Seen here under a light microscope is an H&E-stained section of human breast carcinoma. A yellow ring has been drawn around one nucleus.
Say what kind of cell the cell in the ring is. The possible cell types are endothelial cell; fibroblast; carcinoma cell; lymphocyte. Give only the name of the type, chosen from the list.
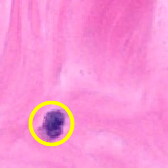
lymphocyte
